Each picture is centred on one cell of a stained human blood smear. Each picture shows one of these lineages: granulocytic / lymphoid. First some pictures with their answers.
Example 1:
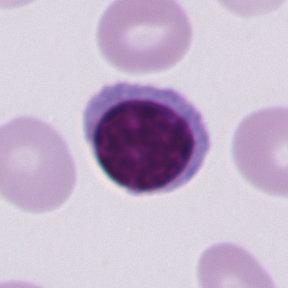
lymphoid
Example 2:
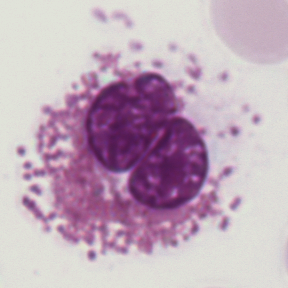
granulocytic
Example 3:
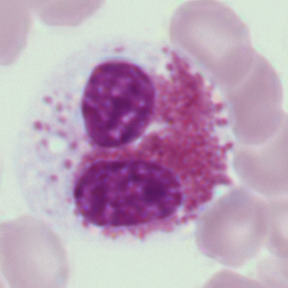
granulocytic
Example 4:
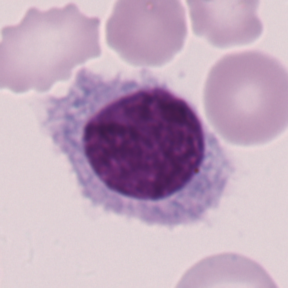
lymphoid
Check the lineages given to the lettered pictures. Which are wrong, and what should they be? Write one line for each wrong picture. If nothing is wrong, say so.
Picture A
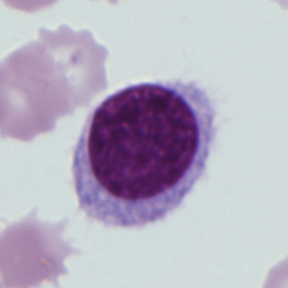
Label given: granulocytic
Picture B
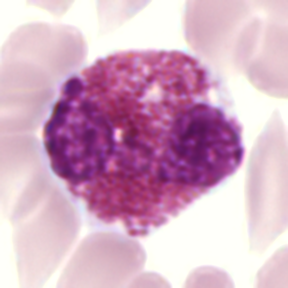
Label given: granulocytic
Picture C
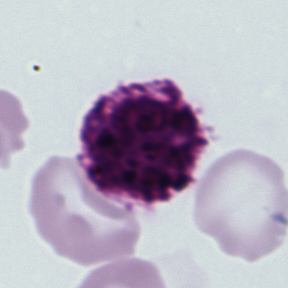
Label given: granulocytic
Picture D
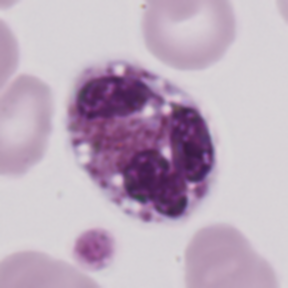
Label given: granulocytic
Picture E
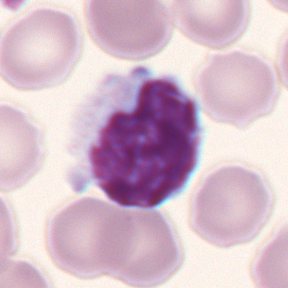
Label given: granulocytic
A should be lymphoid, not granulocytic
E should be lymphoid, not granulocytic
